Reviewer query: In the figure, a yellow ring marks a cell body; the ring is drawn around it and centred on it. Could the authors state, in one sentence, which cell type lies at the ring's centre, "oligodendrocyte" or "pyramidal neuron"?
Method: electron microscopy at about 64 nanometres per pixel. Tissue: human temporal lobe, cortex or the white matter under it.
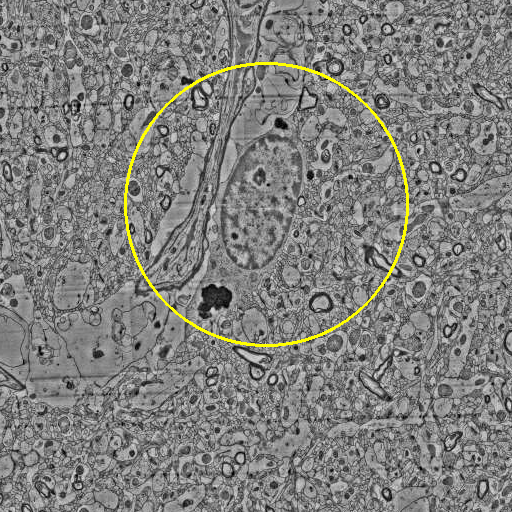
The ring is centred on an oligodendrocyte.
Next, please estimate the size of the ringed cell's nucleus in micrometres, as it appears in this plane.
About 8 by 5 micrometres; in this plane the nucleus is clearly longer than it is wide.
